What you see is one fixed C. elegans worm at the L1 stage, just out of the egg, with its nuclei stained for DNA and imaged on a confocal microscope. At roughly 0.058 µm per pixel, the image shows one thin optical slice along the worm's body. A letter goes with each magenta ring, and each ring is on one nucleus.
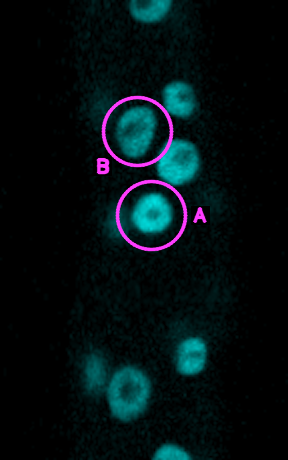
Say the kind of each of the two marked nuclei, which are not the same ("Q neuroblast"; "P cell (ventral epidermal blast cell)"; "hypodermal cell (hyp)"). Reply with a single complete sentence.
One is from a Q neuroblast, namely A, and the other, B, is from a hypodermal cell (hyp).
